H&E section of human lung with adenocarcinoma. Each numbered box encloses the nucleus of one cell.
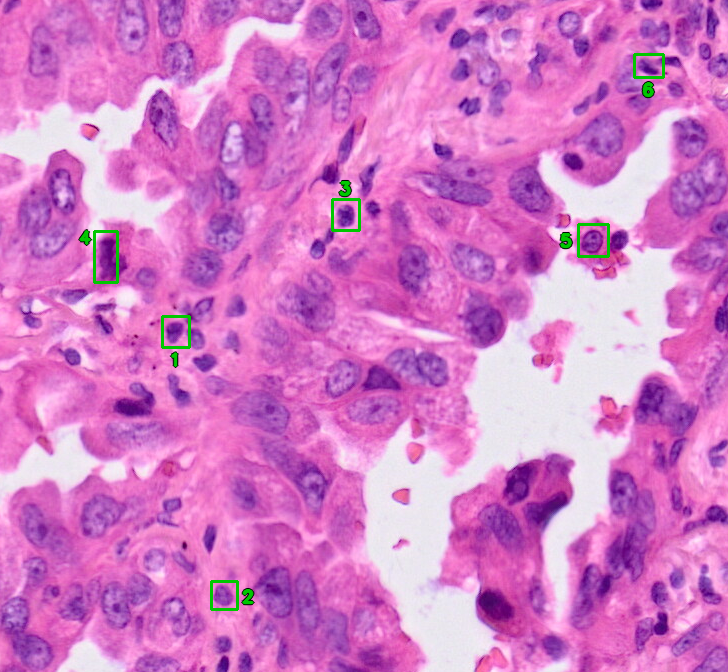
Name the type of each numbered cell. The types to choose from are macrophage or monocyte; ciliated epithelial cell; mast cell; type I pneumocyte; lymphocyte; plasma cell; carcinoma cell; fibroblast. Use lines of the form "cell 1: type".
cell 1: lymphocyte
cell 2: lymphocyte
cell 3: lymphocyte
cell 4: carcinoma cell
cell 5: macrophage or monocyte
cell 6: lymphocyte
